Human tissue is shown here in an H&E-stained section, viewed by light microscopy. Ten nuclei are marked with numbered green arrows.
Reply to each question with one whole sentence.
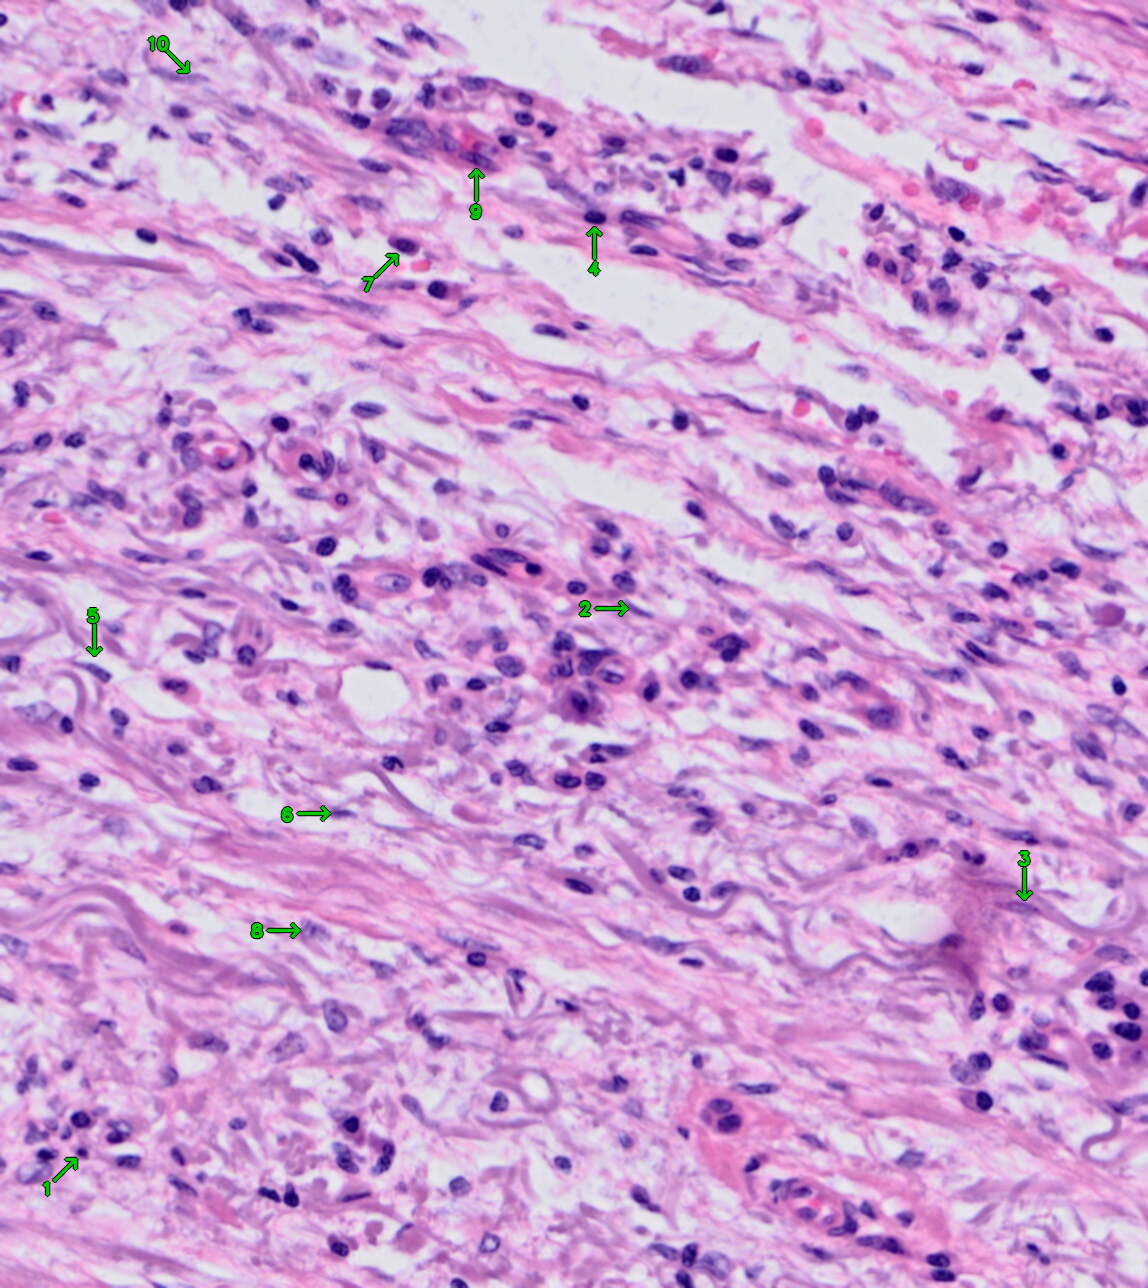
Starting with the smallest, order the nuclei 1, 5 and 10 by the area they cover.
The order from the smallest nucleus to the largest is 1, 10, 5.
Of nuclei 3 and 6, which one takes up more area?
Nucleus 3 is the larger one, covering about 2 times the area of nucleus 6.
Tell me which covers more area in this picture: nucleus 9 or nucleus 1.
The larger nucleus is 9, at roughly 2.5 times the area of 1.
